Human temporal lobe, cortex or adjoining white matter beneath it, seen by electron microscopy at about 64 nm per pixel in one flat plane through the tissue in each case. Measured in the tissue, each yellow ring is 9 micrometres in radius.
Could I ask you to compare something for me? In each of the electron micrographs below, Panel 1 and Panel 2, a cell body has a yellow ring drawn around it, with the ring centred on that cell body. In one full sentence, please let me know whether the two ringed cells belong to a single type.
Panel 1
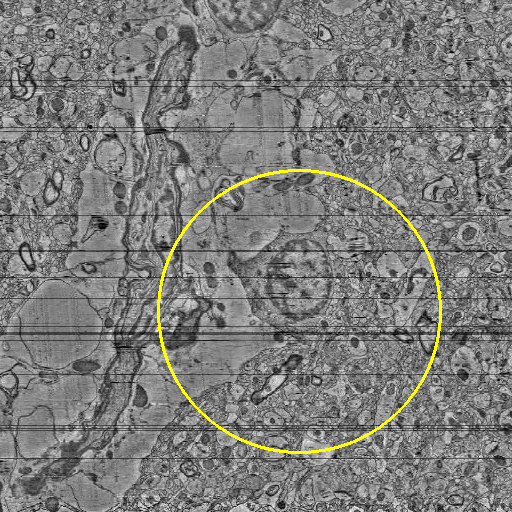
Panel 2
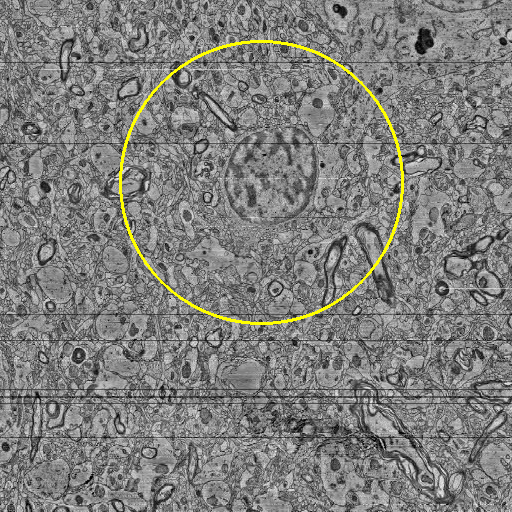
Yes, the two cells at the centres of the rings are of one type.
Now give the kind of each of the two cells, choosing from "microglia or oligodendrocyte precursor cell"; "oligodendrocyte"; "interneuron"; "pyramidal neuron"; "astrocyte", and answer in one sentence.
Each cell at the centre of a ring is an oligodendrocyte.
